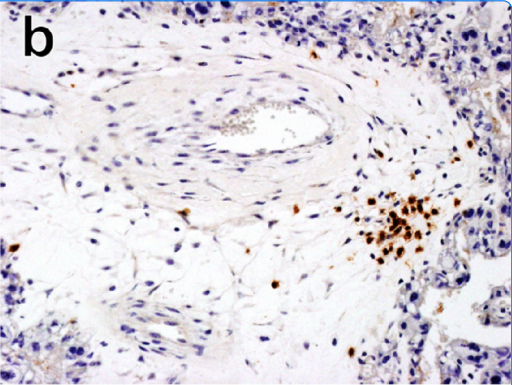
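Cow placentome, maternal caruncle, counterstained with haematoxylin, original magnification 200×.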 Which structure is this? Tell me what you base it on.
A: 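A small cluster of brown-stained round cells lies beside this wall.
Answer: blood vessel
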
